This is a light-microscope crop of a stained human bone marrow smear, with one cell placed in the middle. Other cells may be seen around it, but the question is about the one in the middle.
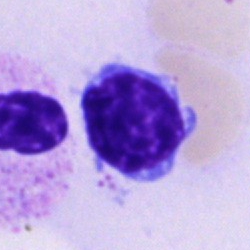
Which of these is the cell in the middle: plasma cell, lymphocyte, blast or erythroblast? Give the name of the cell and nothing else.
lymphocyte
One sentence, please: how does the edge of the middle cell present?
A smooth outline is absent here, replaced by ragged stretches or projections.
